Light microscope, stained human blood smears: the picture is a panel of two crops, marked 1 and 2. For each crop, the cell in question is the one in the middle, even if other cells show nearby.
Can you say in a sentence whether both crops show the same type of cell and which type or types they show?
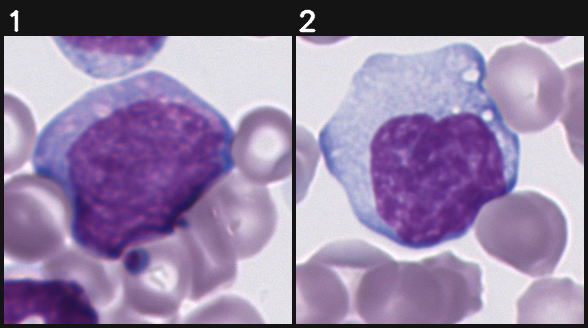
No, crop 1 matches a promyelocyte and crop 2 matches a myeloblast.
